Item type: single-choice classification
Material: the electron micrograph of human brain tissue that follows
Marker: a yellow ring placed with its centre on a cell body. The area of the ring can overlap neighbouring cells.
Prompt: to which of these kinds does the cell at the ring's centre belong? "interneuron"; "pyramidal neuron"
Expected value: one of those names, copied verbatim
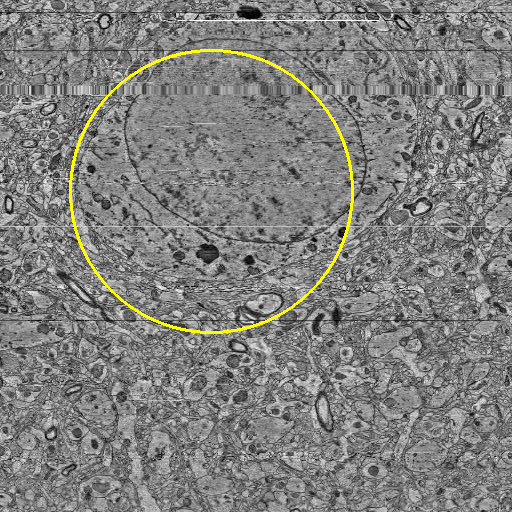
pyramidal neuron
